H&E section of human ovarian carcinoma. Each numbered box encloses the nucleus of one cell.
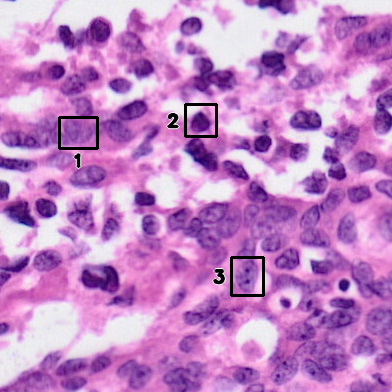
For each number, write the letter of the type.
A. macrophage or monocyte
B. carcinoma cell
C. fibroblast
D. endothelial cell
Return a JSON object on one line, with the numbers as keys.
{"1": "B", "2": "B", "3": "A"}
